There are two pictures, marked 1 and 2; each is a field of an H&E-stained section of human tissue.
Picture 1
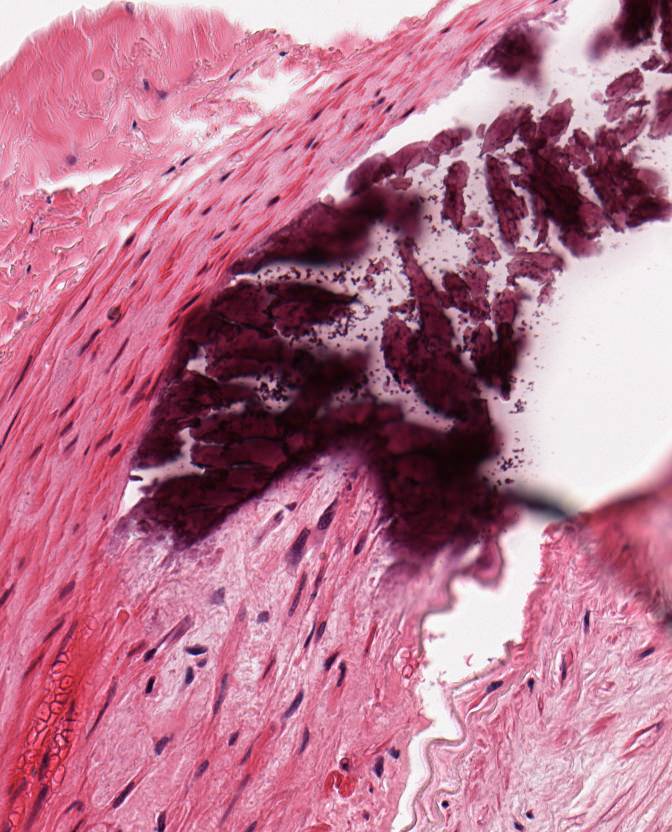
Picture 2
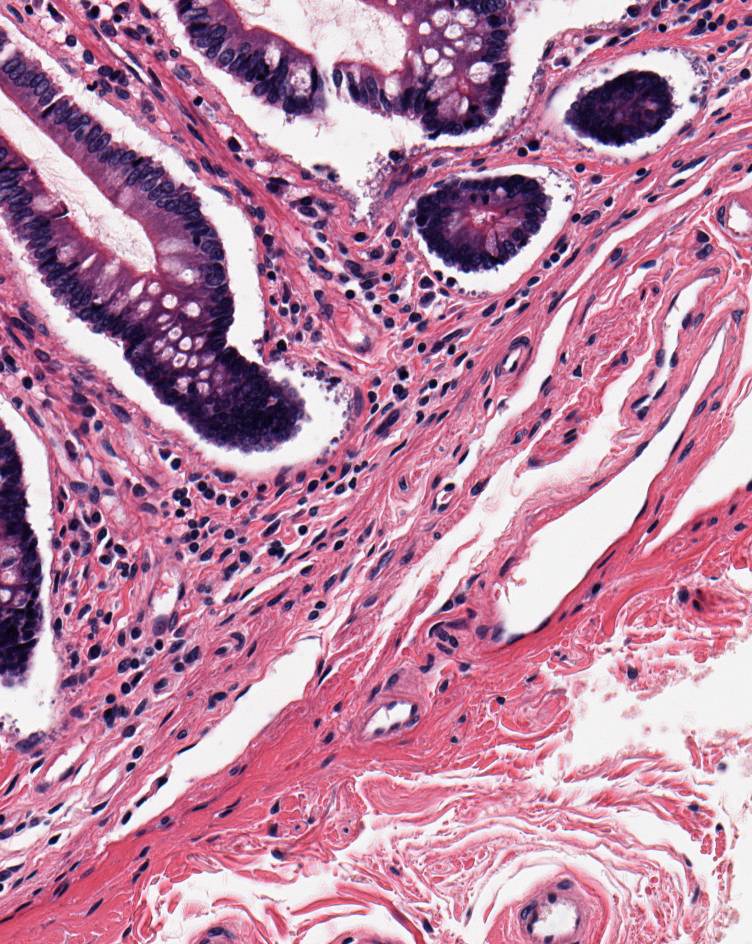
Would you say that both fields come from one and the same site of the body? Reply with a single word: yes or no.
no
